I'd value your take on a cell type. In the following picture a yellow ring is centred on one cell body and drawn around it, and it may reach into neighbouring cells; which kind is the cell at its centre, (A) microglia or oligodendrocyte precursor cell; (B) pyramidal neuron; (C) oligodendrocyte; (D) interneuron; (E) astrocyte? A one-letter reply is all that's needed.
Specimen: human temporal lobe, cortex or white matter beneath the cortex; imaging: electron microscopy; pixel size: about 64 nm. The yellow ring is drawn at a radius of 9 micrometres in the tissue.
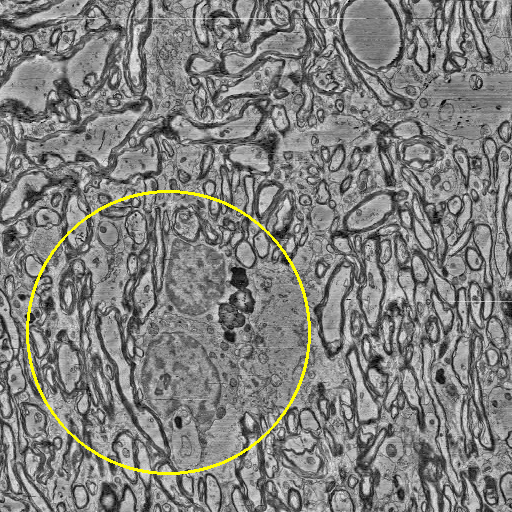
C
